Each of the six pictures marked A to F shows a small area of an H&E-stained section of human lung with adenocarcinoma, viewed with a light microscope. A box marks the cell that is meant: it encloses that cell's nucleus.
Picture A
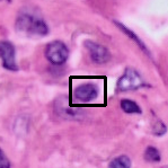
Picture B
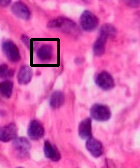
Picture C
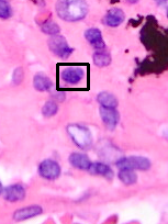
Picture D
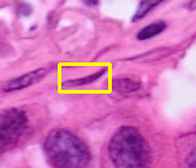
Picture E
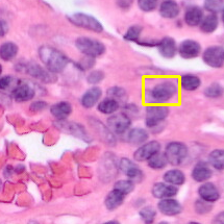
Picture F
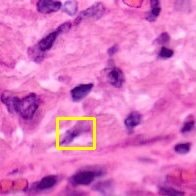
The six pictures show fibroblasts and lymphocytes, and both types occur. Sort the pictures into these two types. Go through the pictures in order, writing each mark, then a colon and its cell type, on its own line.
A: lymphocyte
B: lymphocyte
C: lymphocyte
D: fibroblast
E: lymphocyte
F: fibroblast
